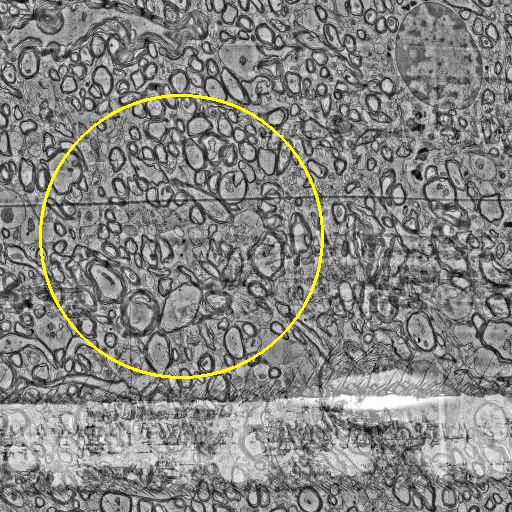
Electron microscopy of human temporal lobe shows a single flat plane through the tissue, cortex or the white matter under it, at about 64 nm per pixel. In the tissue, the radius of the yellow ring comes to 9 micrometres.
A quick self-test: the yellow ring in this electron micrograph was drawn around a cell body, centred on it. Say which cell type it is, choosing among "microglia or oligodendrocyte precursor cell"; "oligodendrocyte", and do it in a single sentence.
The yellow-ringed cell is a microglial cell or oligodendrocyte precursor cell.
